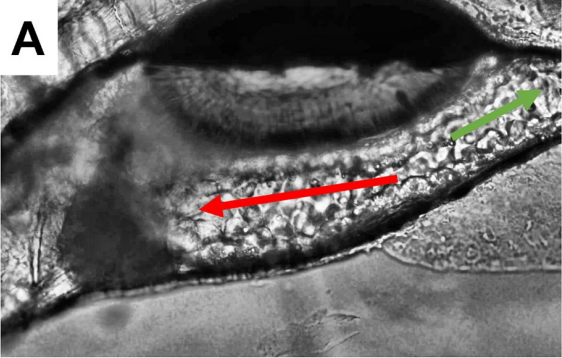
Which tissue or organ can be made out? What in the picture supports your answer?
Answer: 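A wide tube runs lengthwise across the panel. Its wall shows a coarse, bubbly texture of lining cells. The answer: intestine.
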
